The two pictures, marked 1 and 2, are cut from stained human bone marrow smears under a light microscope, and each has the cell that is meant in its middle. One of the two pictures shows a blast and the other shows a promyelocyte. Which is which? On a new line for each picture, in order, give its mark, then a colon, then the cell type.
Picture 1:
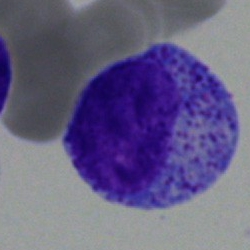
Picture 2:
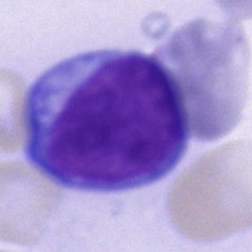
1: promyelocyte
2: blast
